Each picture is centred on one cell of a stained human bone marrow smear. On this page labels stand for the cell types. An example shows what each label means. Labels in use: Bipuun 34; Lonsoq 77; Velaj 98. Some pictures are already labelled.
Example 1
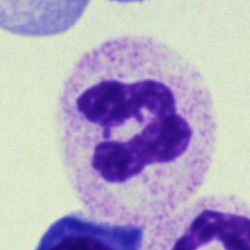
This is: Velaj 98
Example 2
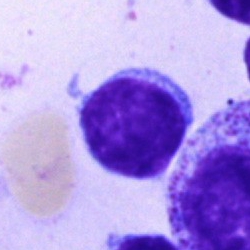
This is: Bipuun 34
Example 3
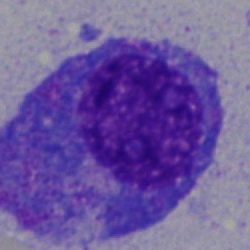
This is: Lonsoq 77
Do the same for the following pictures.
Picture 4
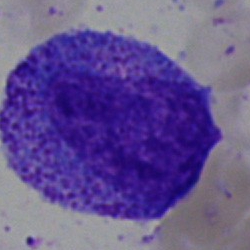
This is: Lonsoq 77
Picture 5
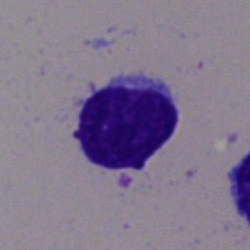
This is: Bipuun 34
